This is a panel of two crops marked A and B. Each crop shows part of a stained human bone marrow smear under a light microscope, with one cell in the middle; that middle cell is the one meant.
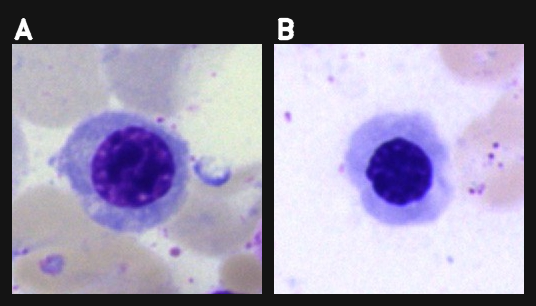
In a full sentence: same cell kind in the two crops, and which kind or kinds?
Yes, both crops show erythroblasts, one in each.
